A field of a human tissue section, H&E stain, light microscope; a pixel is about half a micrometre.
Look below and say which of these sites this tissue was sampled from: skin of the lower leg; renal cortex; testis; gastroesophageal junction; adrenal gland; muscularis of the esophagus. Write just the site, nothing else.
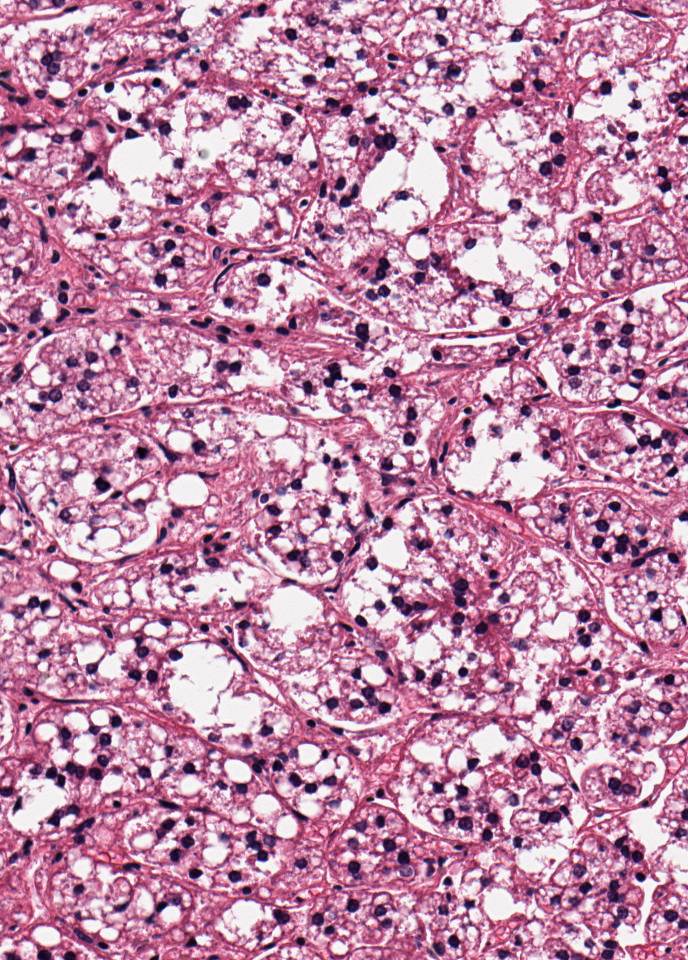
adrenal gland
